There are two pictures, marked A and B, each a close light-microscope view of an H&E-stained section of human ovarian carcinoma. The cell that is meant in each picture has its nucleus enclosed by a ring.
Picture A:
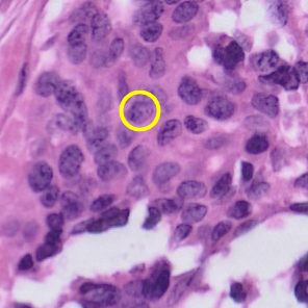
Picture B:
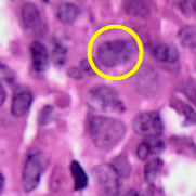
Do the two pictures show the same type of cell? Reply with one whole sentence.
Yes; the cells in both pictures are carcinoma cells.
